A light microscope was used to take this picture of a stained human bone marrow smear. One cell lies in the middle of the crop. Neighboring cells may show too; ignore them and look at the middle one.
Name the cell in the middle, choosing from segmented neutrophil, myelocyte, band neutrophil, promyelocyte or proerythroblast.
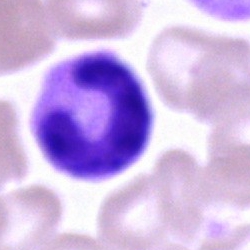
band neutrophil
